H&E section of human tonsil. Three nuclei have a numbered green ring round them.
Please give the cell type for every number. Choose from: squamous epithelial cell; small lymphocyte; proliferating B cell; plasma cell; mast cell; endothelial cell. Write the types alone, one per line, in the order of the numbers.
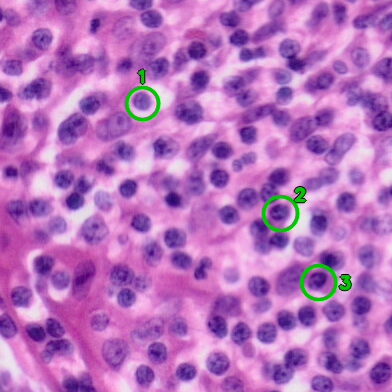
squamous epithelial cell
plasma cell
plasma cell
